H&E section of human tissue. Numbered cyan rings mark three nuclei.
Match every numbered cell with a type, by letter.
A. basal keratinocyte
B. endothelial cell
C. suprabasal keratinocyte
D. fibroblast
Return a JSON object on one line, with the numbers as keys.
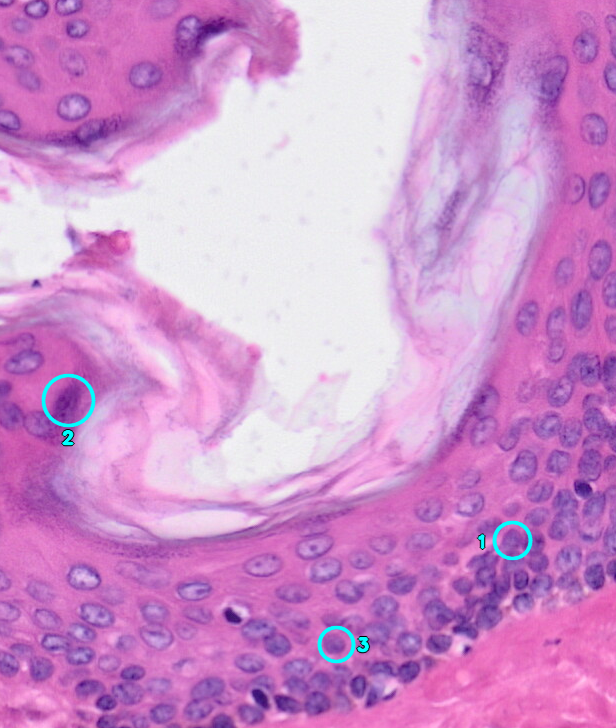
{"1": "A", "2": "C", "3": "A"}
